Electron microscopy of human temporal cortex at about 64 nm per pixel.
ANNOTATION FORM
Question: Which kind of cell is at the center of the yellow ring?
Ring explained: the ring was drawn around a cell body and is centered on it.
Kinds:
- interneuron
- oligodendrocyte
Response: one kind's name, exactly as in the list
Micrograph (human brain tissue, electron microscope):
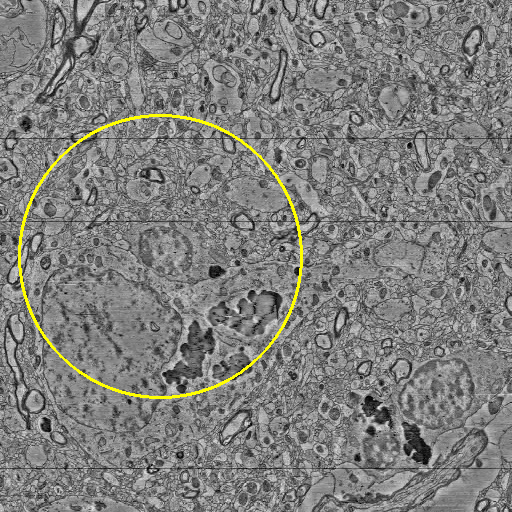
oligodendrocyte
